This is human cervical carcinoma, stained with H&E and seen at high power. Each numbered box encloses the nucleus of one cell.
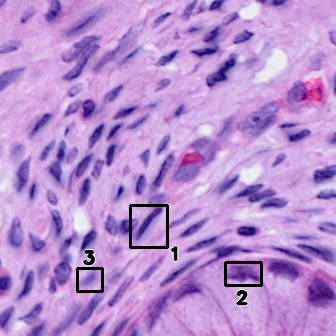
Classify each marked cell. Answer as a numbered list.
1. fibroblast
2. secretory epithelial cell
3. fibroblast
